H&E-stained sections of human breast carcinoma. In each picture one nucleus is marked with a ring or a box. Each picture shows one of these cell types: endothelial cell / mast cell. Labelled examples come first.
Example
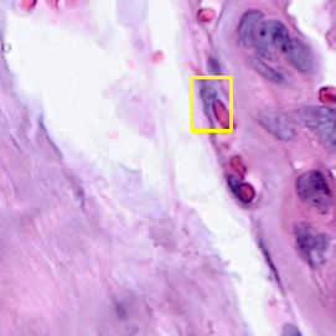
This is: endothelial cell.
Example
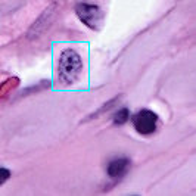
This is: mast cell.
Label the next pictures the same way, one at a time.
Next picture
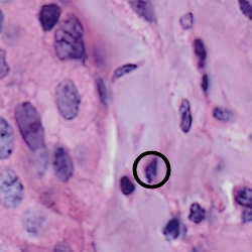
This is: mast cell.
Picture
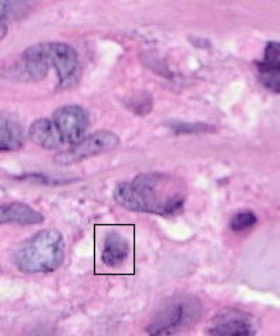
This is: mast cell.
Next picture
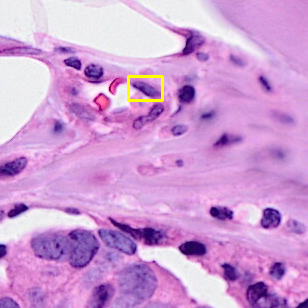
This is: endothelial cell.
